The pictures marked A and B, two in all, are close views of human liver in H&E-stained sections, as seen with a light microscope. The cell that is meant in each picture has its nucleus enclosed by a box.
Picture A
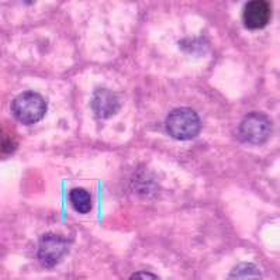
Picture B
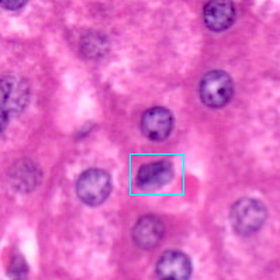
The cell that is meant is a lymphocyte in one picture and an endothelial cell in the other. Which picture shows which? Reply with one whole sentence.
Picture A is of a lymphocyte, and picture B is of an endothelial cell.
